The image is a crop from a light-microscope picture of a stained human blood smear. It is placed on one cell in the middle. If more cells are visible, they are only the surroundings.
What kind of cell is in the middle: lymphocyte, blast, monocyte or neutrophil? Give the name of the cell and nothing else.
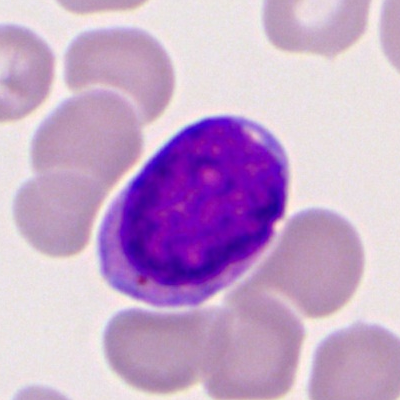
blast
